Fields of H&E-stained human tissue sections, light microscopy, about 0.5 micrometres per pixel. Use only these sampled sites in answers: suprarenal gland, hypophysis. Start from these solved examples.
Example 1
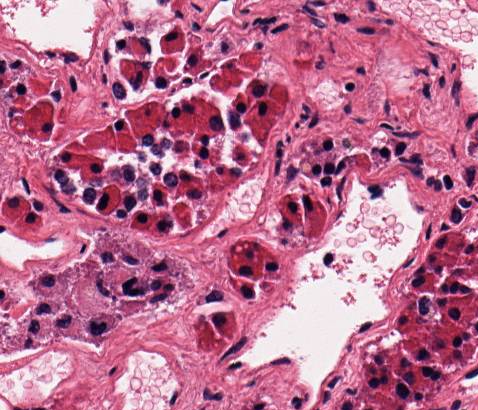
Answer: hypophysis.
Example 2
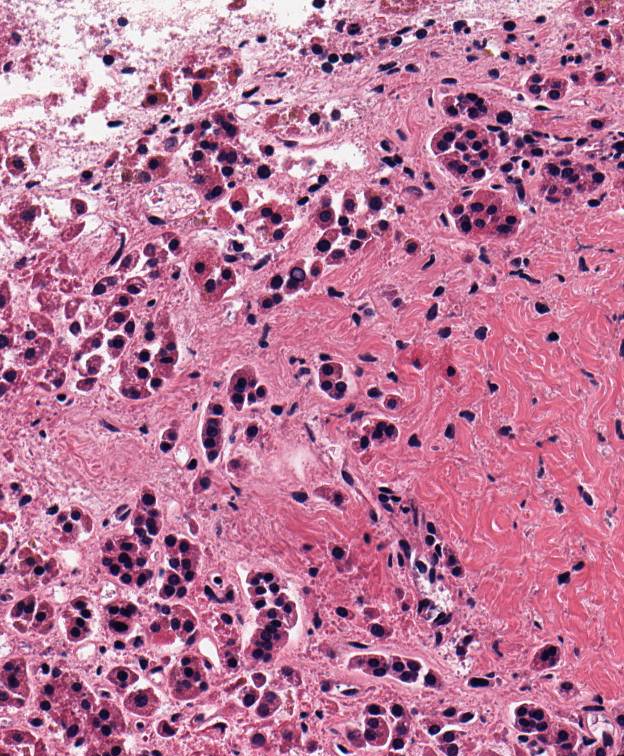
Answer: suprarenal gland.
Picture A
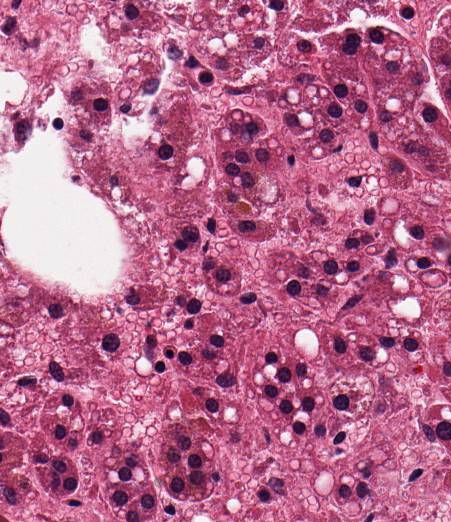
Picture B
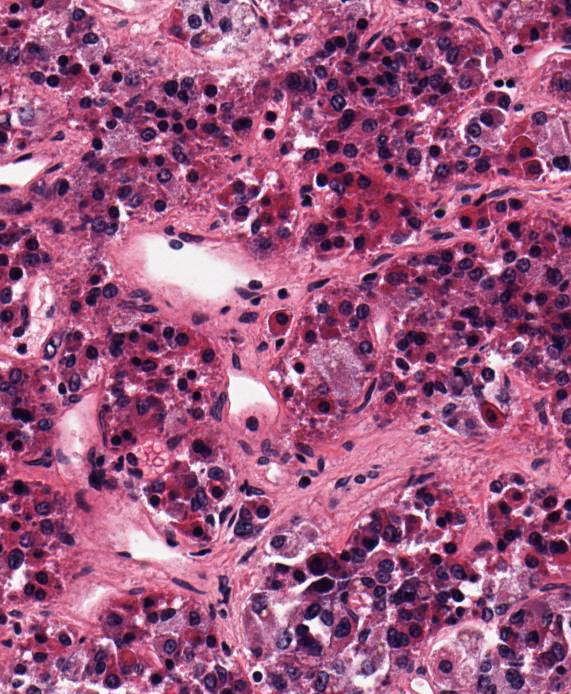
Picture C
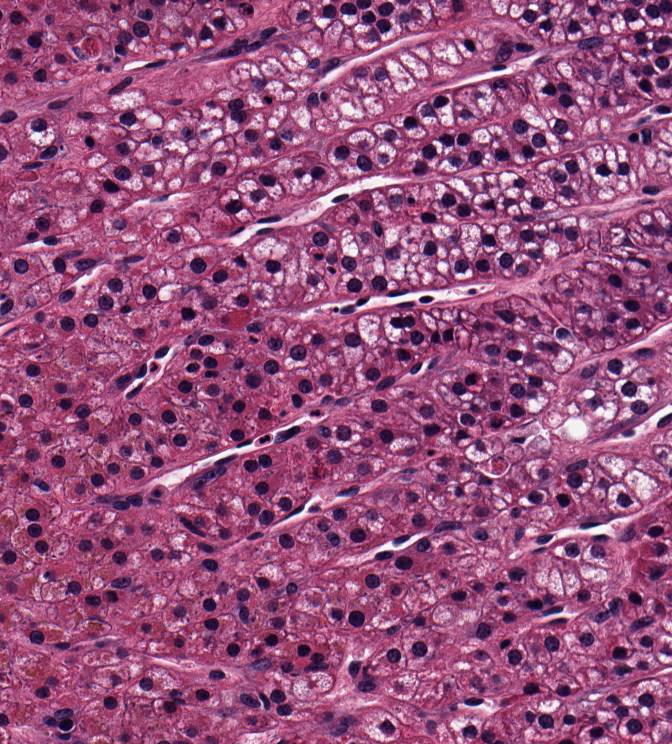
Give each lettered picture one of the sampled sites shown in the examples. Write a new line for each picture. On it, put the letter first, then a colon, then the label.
A: suprarenal gland.
B: hypophysis.
C: suprarenal gland.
